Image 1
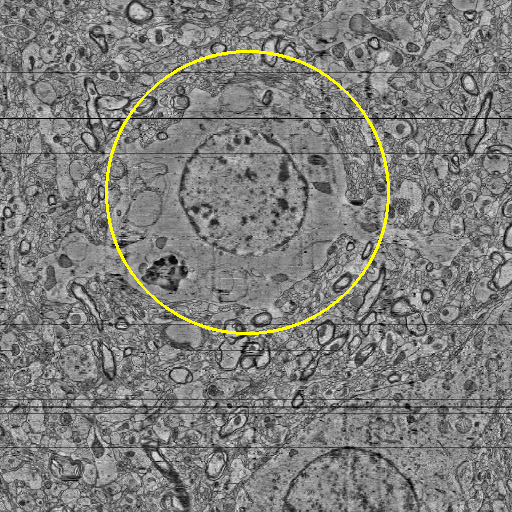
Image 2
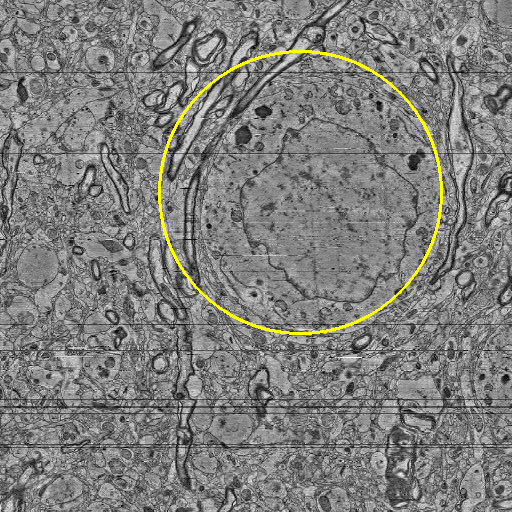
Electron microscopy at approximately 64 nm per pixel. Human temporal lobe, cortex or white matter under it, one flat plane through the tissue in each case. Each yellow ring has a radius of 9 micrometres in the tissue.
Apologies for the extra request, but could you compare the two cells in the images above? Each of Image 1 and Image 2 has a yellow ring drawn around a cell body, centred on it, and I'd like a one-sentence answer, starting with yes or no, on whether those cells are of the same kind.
No, the two cells are of two kinds.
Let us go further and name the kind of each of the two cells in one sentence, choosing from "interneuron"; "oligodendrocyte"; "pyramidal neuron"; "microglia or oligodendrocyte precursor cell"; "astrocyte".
The ring of the first picture is on an astrocyte, the ring of the second on a pyramidal neuron.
